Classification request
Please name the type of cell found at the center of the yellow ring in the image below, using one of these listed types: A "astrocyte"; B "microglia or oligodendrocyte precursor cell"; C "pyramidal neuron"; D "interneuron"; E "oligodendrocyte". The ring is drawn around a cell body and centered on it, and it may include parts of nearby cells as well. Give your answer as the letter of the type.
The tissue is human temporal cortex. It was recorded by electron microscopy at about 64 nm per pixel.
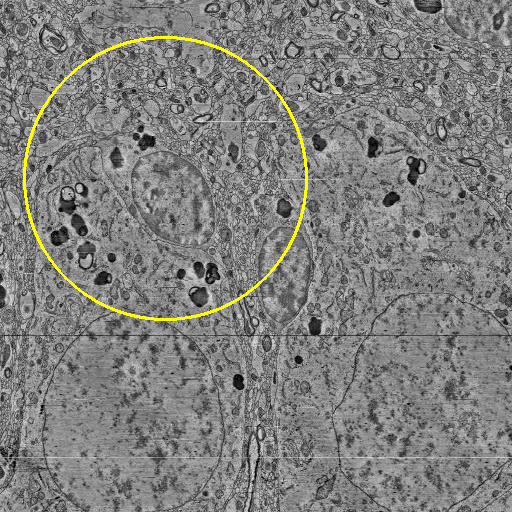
E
